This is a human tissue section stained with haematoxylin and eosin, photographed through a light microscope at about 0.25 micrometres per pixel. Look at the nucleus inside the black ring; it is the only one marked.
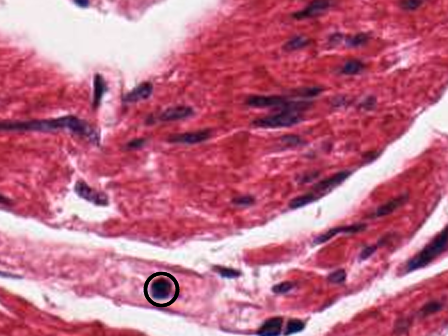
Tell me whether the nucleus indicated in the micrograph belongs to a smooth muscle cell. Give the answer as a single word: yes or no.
no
